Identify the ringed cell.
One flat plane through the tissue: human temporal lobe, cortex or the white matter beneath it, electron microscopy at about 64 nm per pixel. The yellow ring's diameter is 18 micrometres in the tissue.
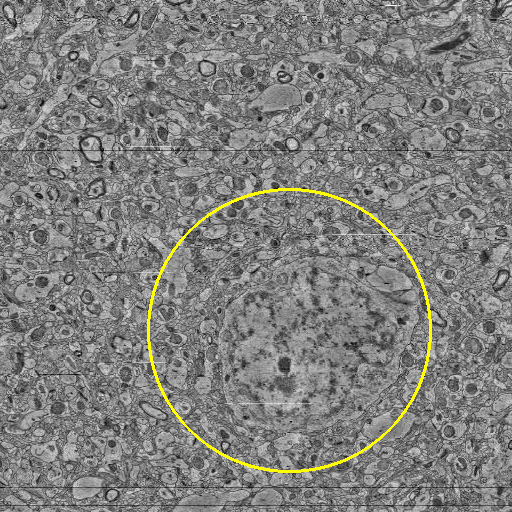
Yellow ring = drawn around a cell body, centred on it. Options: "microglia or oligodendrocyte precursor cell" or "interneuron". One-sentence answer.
What the ring is centred on is an interneuron.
